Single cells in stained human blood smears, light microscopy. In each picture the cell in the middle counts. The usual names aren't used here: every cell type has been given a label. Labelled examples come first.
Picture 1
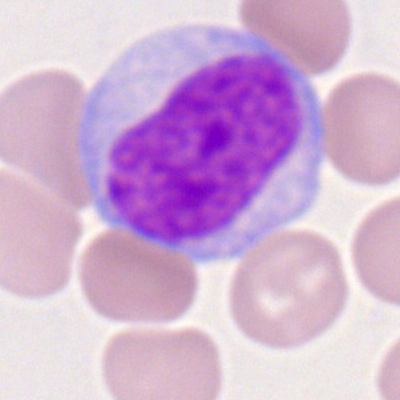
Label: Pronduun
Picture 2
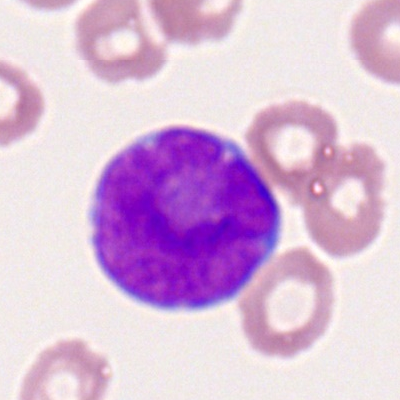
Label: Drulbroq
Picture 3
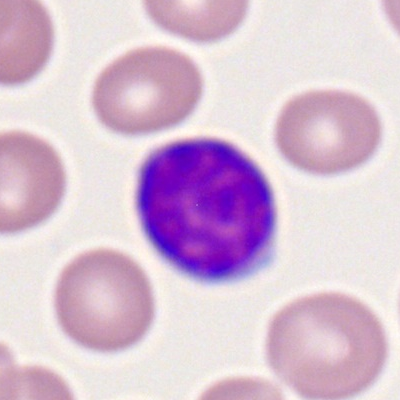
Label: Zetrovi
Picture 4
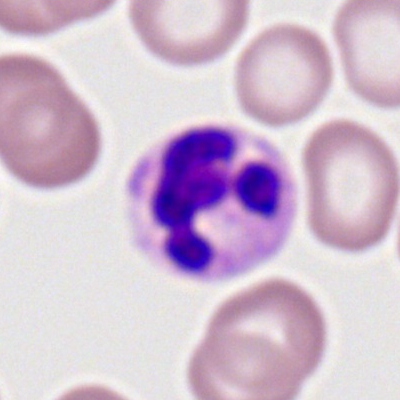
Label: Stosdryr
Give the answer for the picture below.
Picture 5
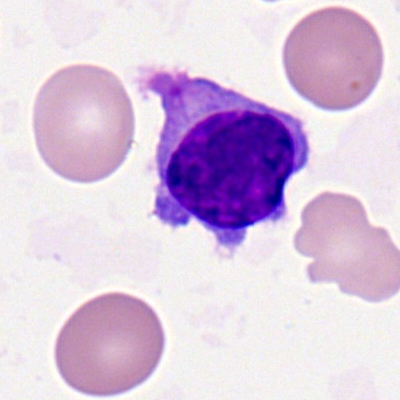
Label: Zetrovi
